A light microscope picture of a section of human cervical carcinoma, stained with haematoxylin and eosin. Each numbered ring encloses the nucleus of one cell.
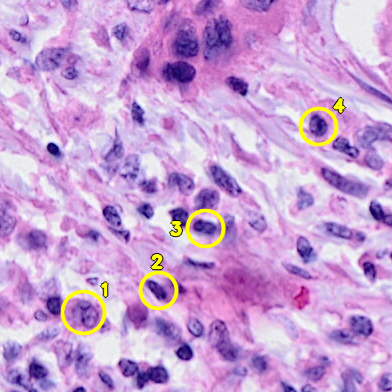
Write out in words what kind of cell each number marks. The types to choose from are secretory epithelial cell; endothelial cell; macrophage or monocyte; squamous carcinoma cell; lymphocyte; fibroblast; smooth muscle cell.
Cell 1 is a macrophage or monocyte. Cells 2, 3 and 4 are lymphocytes.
